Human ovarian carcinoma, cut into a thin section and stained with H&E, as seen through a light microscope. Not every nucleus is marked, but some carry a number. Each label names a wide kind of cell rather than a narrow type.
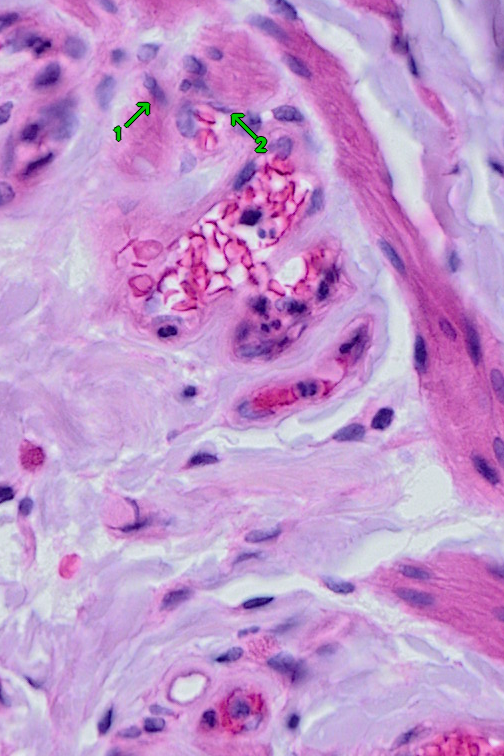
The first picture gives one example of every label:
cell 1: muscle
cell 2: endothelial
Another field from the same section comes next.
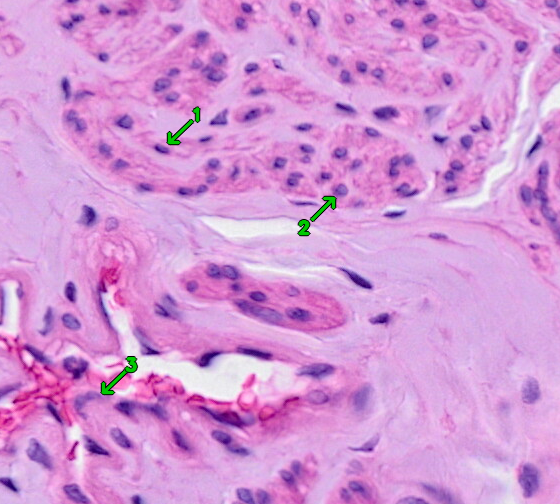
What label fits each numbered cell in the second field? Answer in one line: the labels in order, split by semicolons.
muscle; muscle; endothelial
